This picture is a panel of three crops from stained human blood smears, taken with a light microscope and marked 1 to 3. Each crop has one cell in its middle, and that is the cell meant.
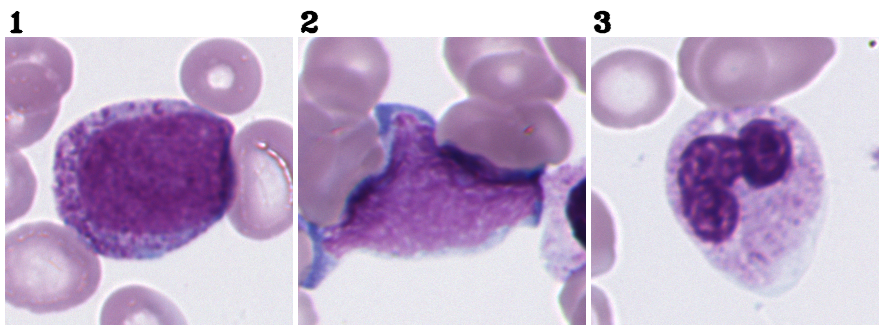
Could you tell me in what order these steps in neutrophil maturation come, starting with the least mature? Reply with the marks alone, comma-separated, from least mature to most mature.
2, 1, 3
